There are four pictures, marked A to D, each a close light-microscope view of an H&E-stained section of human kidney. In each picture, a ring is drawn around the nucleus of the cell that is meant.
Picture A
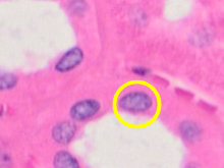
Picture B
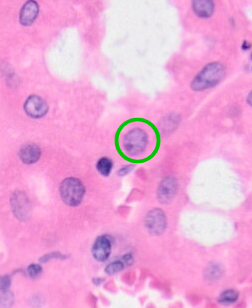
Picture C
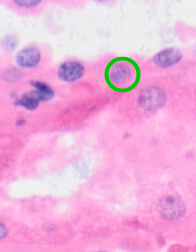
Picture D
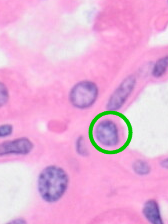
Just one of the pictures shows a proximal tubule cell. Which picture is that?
B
